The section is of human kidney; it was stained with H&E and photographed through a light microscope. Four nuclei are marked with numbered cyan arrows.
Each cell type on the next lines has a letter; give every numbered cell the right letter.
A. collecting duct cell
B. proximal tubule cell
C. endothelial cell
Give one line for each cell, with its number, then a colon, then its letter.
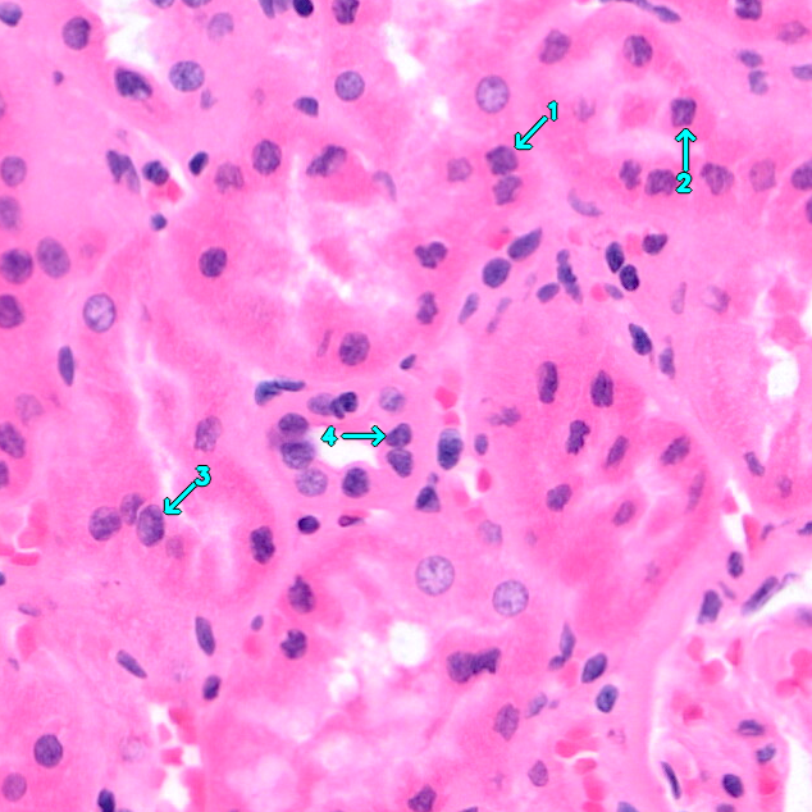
1: B
2: B
3: B
4: A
